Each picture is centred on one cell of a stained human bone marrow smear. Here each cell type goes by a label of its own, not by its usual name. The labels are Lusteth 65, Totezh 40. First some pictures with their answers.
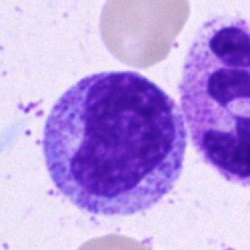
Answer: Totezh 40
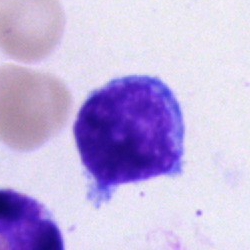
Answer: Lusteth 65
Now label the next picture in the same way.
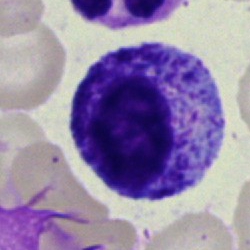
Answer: Totezh 40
